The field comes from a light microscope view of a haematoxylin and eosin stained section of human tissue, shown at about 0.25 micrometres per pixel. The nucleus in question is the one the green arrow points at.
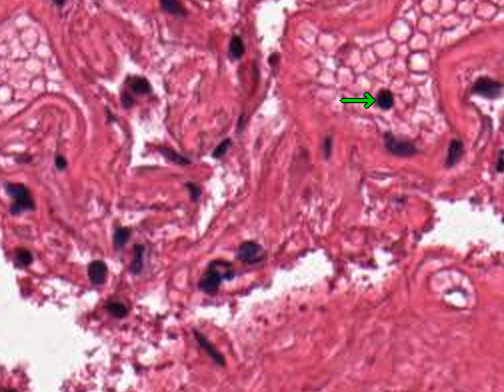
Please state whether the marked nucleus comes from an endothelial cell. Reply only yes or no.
no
